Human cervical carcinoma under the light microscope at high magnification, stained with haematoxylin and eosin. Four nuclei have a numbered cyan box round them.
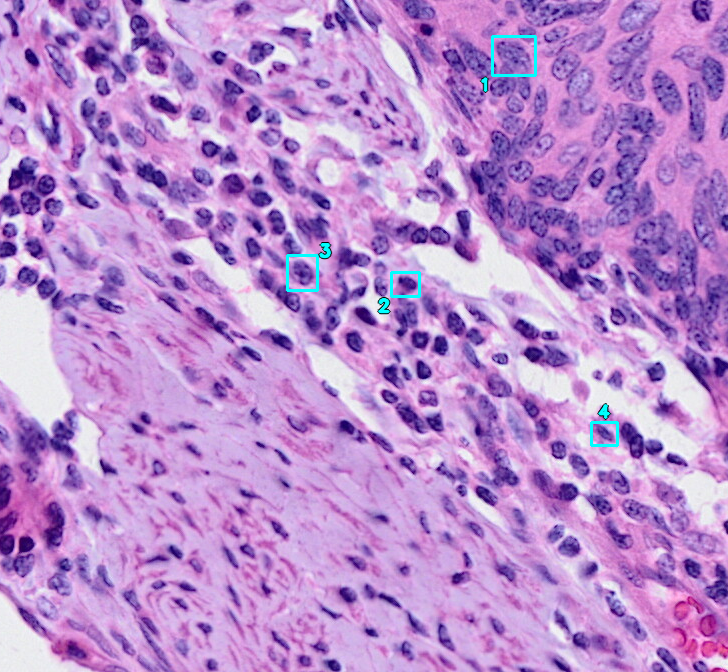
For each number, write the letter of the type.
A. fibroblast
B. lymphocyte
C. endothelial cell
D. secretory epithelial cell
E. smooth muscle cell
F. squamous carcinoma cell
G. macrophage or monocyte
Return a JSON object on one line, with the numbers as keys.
{"1": "F", "2": "B", "3": "B", "4": "B"}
